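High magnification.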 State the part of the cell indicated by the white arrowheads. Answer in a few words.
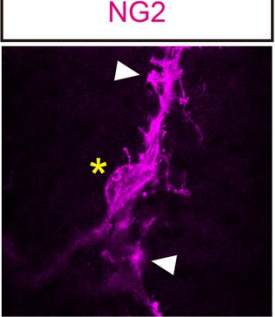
Foot processes.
